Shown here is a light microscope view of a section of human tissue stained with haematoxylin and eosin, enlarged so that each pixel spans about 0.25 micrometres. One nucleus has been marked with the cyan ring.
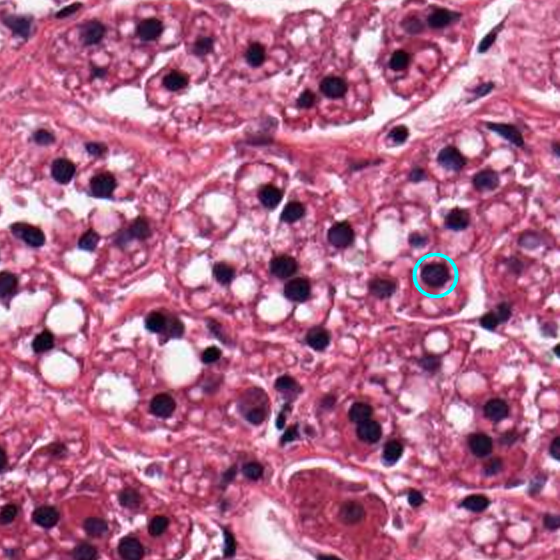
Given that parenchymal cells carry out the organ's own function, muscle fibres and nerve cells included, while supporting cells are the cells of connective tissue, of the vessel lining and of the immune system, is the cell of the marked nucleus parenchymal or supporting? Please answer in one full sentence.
It is the nucleus of an adrenal cortical cell, a parenchymal cell, that is marked.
